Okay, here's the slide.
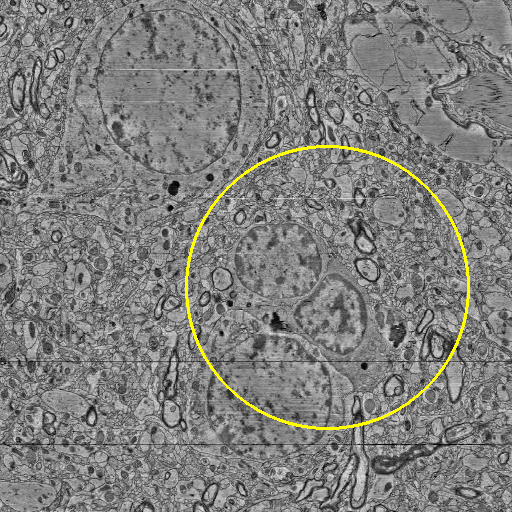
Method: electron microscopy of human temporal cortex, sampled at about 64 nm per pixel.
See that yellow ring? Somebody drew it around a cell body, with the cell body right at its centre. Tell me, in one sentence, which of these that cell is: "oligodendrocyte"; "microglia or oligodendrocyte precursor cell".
The cell in the middle of the ring is an oligodendrocyte.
